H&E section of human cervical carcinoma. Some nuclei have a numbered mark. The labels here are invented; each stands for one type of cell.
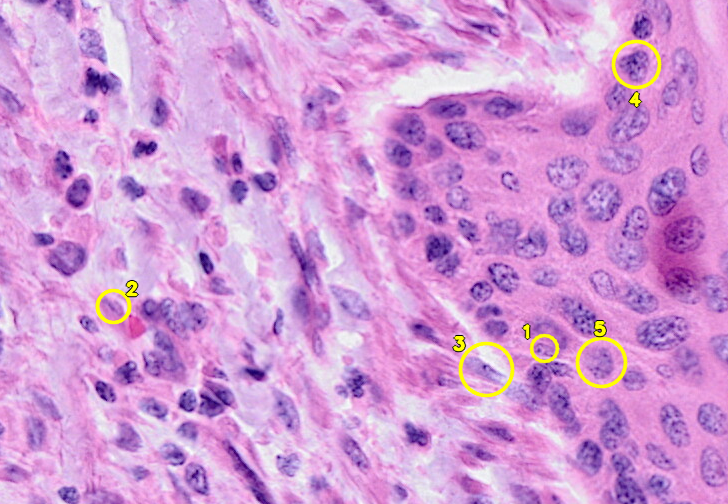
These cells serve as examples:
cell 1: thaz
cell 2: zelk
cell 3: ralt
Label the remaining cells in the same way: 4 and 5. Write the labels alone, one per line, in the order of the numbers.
thaz
thaz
